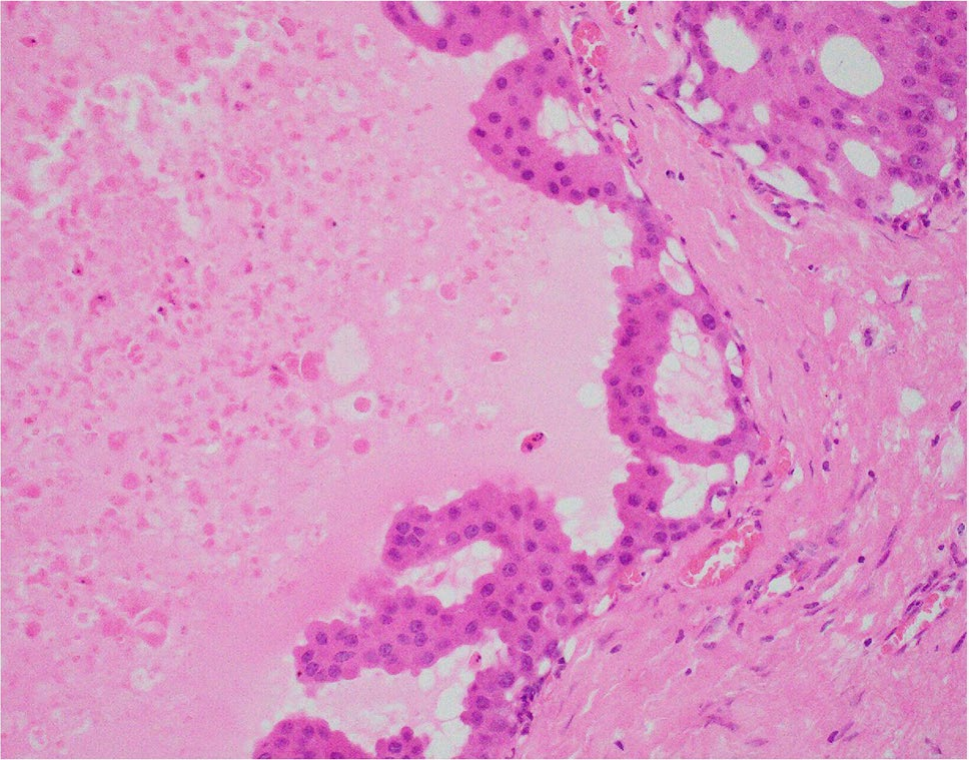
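This field shows a duct-like space lined by carcinoma in situ cells of apocrine type, with necrotic material in the lumen and fibrous stroma around it. The lining cells have abundant pink granular cytoplasm. Their nuclei are round to oval and sit in several layers, and many have distinct nucleoli. Nuclear size varies moderately from cell to cell. The epithelium forms arches, bridges and tufts that enclose rounded secondary spaces, some holding pale wispy material. The lumen on the left is filled with pale pink granular debris containing rounded cell ghosts and scattered nuclear fragments, while the stroma on the right is collagenous and contains small vessels filled with red blood cells.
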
